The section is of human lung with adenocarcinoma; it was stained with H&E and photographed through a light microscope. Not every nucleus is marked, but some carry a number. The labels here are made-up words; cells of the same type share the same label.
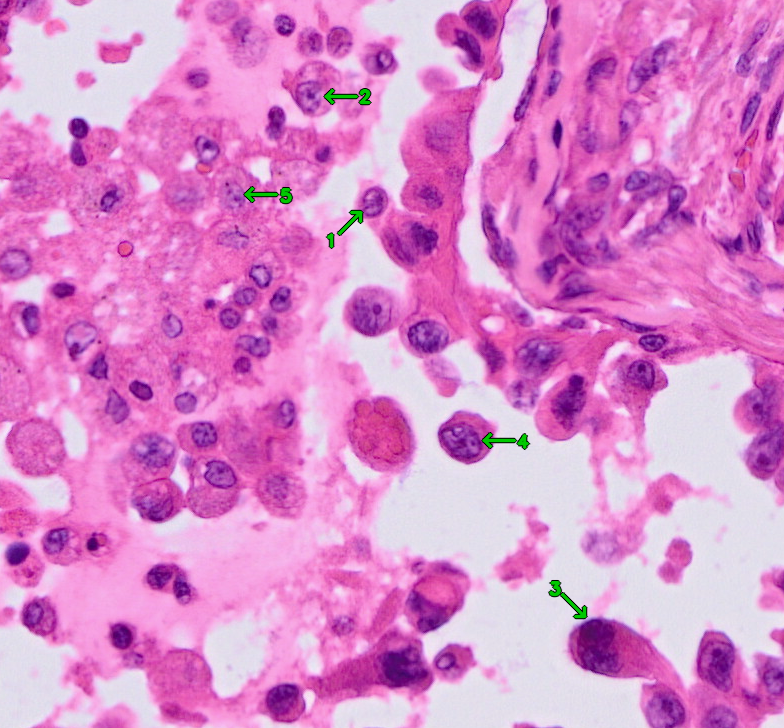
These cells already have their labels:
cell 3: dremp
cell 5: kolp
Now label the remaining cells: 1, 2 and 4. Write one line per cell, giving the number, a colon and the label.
1: kolp
2: kolp
4: dremp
